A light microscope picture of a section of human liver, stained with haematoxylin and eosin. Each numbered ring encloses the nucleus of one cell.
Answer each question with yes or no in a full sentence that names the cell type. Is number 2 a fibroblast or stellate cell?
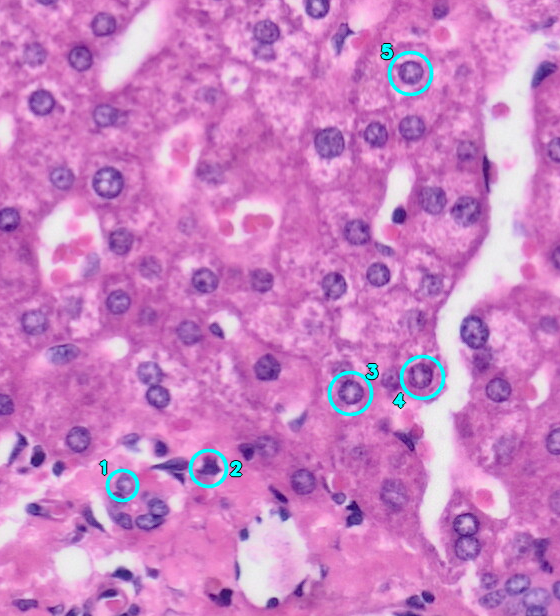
Yes, a fibroblast or stellate cell is what the cell numbered 2 is.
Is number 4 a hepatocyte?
Yes, the numbered nucleus 4 is that of a hepatocyte.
